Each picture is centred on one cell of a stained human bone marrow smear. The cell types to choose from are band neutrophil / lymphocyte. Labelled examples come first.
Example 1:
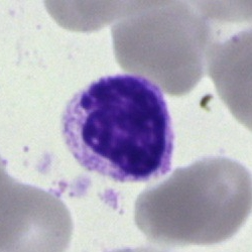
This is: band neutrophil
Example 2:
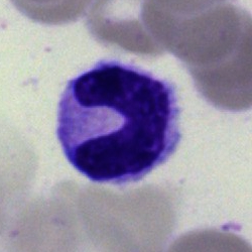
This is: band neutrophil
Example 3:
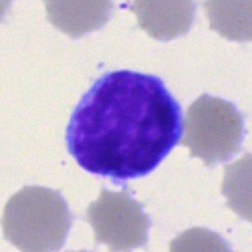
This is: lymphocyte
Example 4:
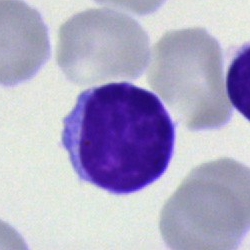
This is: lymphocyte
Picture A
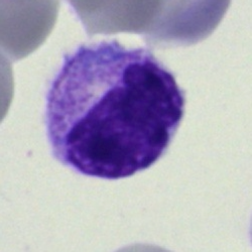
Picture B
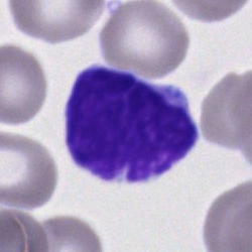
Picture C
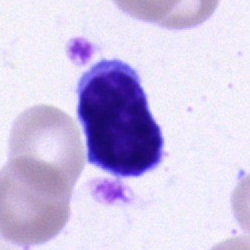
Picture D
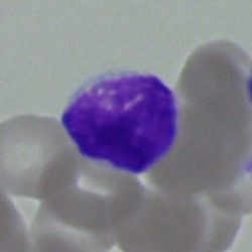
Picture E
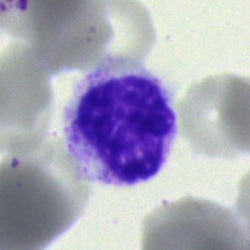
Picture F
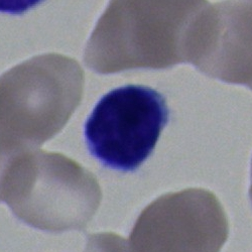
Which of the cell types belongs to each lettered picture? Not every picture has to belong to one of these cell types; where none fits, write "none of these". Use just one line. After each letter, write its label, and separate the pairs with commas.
A none of these, B lymphocyte, C lymphocyte, D lymphocyte, E band neutrophil, F lymphocyte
